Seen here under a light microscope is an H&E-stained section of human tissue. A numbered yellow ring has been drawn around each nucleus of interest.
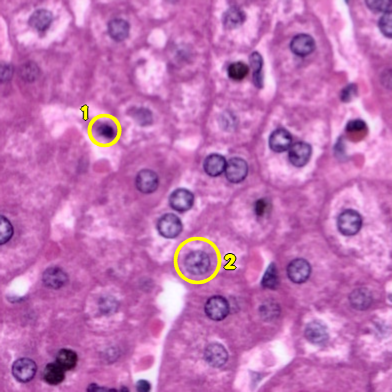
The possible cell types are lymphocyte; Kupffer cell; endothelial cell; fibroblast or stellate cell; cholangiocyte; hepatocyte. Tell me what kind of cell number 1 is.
Kupffer cell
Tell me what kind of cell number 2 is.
hepatocyte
